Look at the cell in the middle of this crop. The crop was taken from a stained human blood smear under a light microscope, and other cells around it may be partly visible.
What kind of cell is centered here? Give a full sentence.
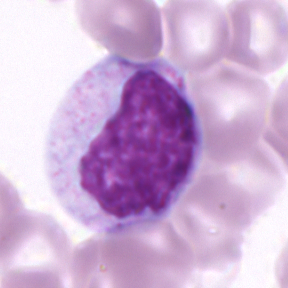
Whatever else lies nearby, the middle cell is a myelocyte.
